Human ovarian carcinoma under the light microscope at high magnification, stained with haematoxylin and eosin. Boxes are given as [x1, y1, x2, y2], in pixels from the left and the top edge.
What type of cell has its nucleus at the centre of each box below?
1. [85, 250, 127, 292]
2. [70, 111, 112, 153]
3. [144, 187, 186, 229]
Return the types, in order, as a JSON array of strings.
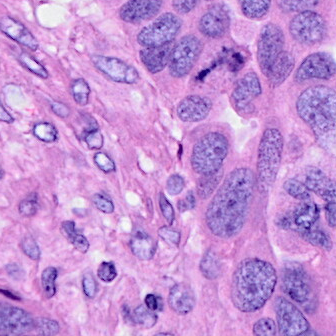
["lymphocyte", "fibroblast", "fibroblast"]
